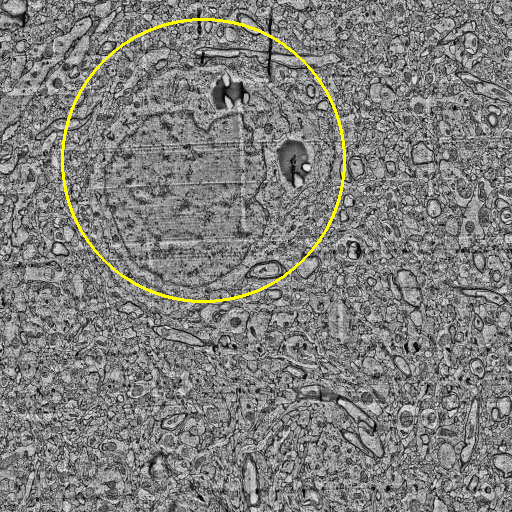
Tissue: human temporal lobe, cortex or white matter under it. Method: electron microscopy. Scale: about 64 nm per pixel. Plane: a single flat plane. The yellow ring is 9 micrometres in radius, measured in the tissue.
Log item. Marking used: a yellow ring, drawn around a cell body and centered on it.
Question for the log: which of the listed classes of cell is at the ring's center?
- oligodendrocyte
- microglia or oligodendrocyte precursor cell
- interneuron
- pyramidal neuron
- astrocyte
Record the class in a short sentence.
At the center of the ring lies an interneuron.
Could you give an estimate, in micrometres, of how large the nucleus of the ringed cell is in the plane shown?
The nucleus is about 11 micrometres across in this plane.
